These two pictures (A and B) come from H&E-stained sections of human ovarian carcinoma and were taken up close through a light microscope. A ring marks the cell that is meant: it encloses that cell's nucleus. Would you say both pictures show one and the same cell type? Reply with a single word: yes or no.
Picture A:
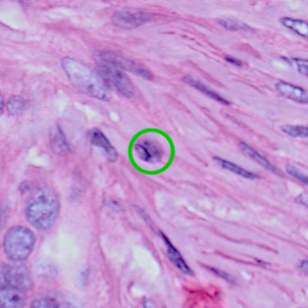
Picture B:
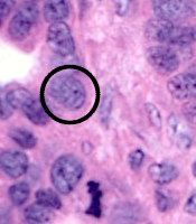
no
